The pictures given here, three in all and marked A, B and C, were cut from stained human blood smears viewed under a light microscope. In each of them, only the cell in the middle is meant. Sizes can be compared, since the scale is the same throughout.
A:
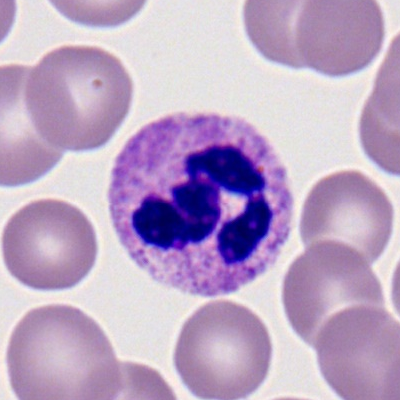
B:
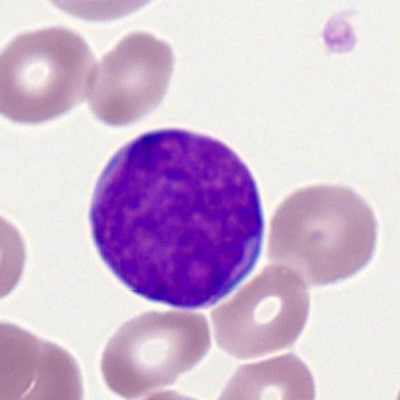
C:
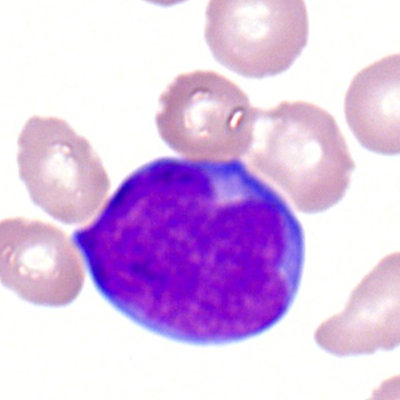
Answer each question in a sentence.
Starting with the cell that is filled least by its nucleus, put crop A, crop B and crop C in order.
The least filled comes first: A, C, B.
